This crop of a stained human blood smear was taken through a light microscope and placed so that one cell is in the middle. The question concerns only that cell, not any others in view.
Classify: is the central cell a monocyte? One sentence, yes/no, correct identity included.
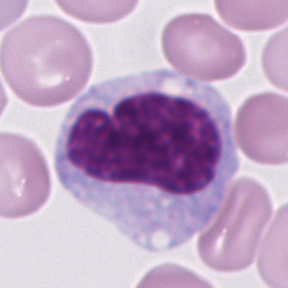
Yes, the central cell of this crop corresponds to a monocyte.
